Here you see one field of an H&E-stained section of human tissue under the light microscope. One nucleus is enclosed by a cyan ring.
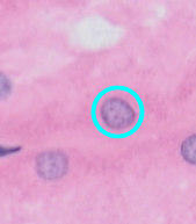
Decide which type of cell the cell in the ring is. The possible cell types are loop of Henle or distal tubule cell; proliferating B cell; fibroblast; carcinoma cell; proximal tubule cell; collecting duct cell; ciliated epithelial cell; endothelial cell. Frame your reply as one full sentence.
For the purposes of cell typing, the cell in the ring is categorized as a proximal tubule cell.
